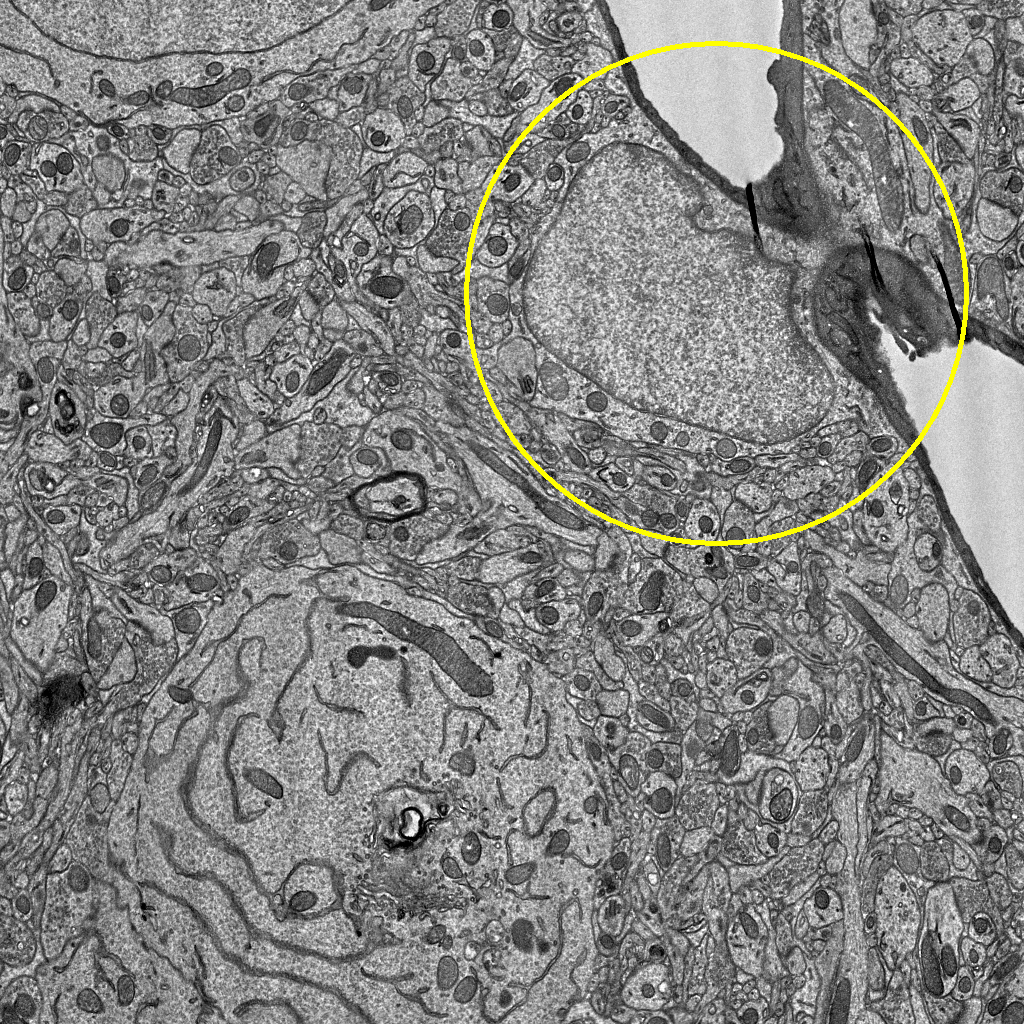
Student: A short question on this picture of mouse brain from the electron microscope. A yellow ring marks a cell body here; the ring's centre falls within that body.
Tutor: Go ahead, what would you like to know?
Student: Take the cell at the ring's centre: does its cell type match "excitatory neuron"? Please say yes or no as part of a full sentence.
No, the cell found at the ring's centre in the picture has another cell type.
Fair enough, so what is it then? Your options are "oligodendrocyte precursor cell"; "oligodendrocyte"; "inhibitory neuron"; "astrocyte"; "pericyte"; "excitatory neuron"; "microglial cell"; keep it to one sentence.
Instead, what sits at the centre of the ring is an astrocyte.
